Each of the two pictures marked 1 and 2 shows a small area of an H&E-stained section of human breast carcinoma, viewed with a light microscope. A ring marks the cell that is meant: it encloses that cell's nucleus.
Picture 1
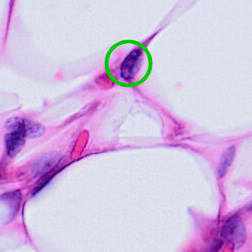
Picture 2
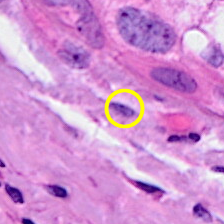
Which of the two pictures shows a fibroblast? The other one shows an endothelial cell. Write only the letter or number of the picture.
2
